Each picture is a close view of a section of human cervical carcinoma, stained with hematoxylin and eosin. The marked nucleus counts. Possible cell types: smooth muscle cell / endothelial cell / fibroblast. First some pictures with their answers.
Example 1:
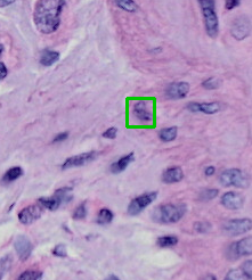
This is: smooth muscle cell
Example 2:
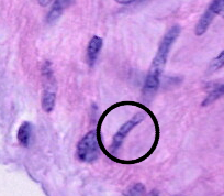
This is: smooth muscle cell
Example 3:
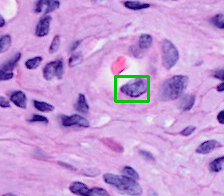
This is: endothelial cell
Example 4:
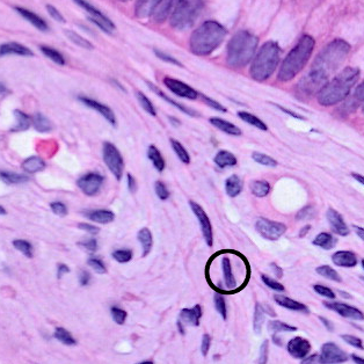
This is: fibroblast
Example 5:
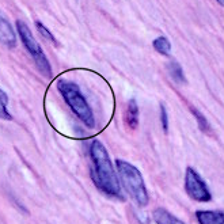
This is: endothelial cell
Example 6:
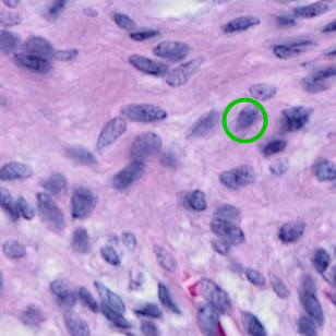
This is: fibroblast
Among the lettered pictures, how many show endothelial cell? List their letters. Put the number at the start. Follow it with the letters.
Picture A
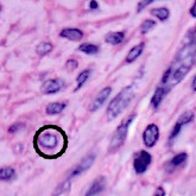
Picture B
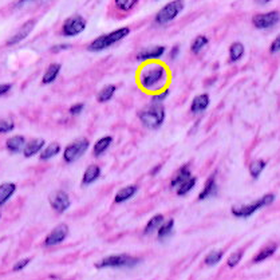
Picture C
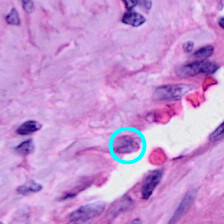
1: C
